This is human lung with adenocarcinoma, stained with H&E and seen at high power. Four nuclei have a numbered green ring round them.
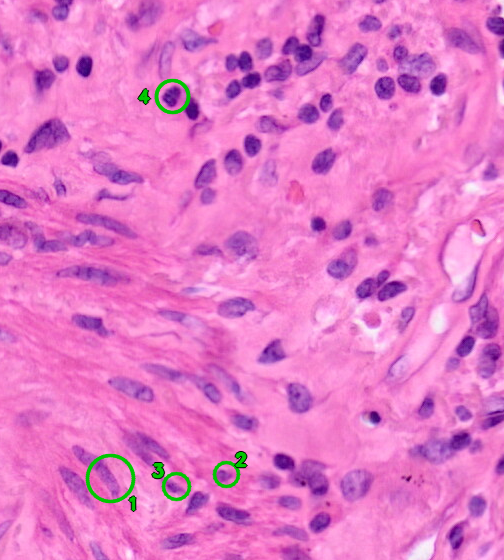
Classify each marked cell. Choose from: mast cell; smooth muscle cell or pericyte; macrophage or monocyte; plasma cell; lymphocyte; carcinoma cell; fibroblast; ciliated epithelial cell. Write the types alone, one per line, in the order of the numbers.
smooth muscle cell or pericyte
smooth muscle cell or pericyte
smooth muscle cell or pericyte
lymphocyte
